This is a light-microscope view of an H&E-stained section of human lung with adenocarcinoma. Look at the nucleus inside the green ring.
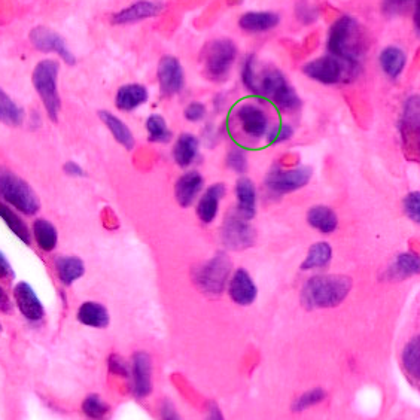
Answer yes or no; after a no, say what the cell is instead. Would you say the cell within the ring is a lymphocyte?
No, it is a plasma cell.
